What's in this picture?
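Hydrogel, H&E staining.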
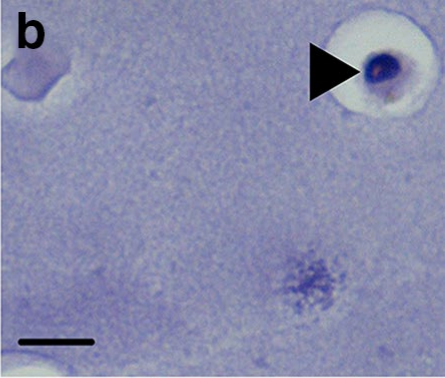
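A smooth, lilac-stained gel matrix holds a single round cavity near the upper right. Inside the cavity, against a clear white halo, lies a small, dense, dark blue nucleus with a thin rim of pinkish material beside it, so this is one cell sitting in its own lacuna within the gel. The cavity border is sharp and cleanly outlined. Elsewhere the matrix is nearly featureless, apart from a faint, speckled purple patch lower in the field and a pale outline at the upper left edge, likely parts of other cavities cut at a different level.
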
